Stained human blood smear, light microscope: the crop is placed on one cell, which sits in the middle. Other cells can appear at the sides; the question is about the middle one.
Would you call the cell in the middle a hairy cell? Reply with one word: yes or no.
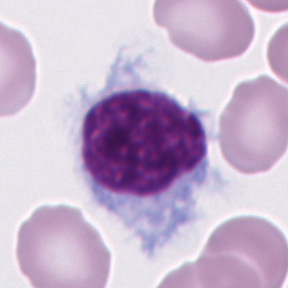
yes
